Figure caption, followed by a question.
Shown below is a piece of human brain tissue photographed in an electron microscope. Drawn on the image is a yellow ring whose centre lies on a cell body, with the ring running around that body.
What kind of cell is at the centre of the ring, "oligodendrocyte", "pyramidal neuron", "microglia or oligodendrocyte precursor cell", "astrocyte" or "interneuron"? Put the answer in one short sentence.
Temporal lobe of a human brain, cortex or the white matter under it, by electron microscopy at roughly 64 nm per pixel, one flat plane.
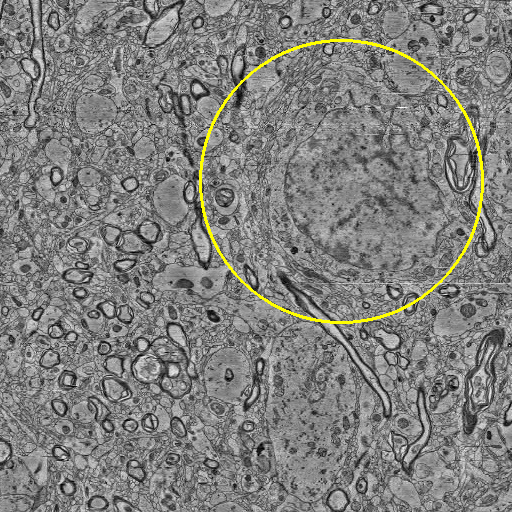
The ring marks the cell body of an interneuron.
